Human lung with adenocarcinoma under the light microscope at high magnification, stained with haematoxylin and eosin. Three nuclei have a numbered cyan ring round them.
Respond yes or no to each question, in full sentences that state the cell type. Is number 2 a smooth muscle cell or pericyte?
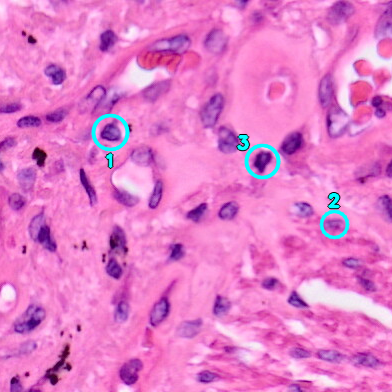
Yes, in this section the cell numbered 2 is a smooth muscle cell or pericyte.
